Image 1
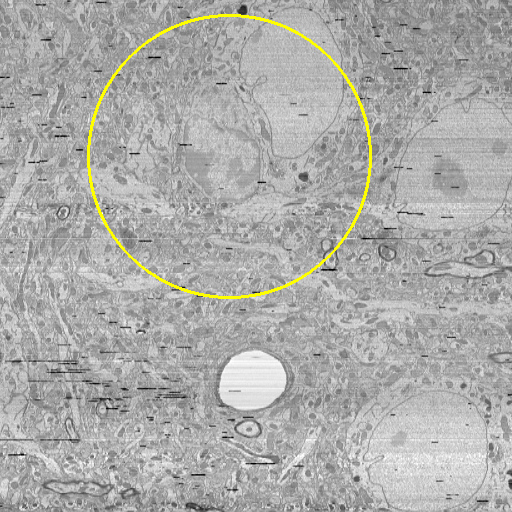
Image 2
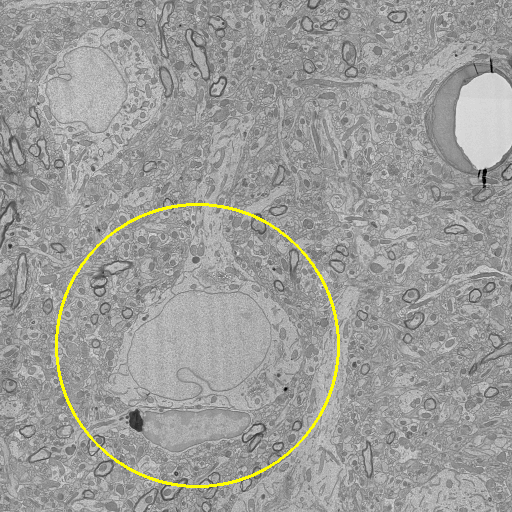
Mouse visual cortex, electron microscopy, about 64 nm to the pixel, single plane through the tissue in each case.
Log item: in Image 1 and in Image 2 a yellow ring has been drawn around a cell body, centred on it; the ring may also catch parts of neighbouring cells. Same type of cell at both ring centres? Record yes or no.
no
